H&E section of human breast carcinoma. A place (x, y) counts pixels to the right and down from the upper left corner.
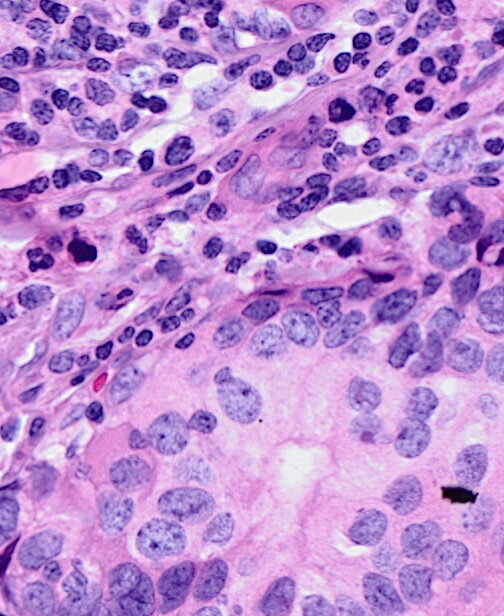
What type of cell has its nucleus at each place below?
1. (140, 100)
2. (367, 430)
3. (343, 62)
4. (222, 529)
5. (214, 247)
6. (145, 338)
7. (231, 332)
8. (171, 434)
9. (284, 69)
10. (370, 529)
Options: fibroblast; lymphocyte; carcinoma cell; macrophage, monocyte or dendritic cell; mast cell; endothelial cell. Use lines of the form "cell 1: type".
cell 1: lymphocyte
cell 2: carcinoma cell
cell 3: lymphocyte
cell 4: carcinoma cell
cell 5: lymphocyte
cell 6: lymphocyte
cell 7: carcinoma cell
cell 8: carcinoma cell
cell 9: lymphocyte
cell 10: carcinoma cell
